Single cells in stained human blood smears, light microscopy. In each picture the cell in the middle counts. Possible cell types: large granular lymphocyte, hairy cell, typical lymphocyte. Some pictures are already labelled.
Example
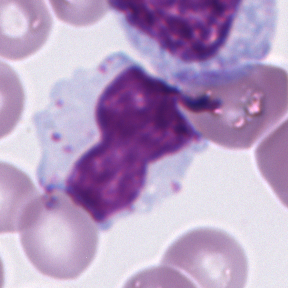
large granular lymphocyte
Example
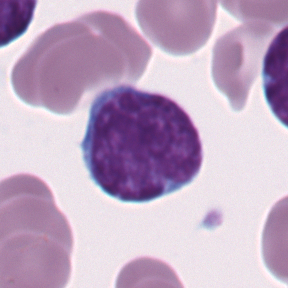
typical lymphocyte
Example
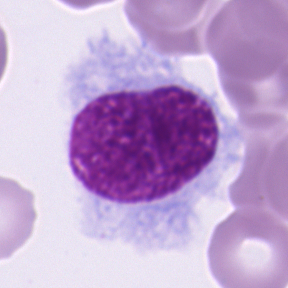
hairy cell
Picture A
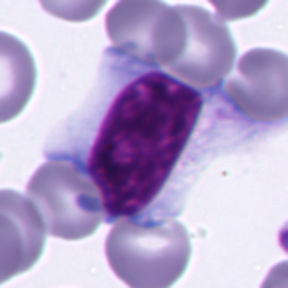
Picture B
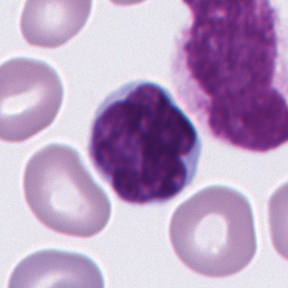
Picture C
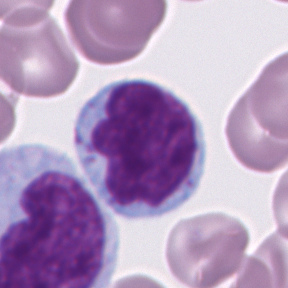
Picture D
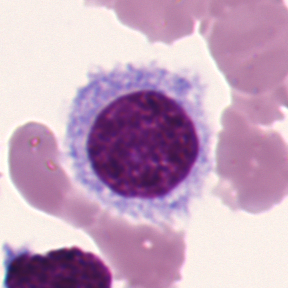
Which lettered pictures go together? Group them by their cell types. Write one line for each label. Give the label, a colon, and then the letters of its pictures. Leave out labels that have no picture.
large granular lymphocyte: A, C
hairy cell: D
typical lymphocyte: B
